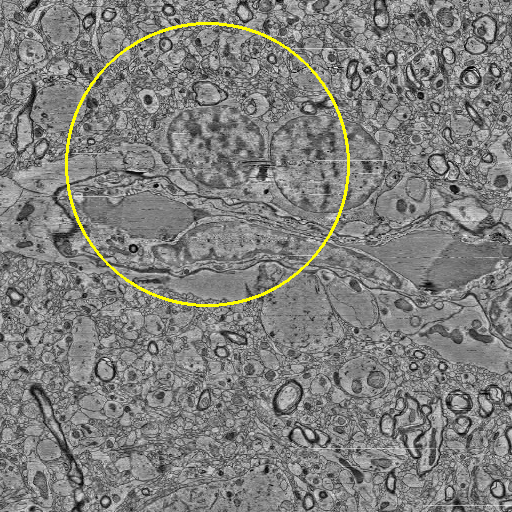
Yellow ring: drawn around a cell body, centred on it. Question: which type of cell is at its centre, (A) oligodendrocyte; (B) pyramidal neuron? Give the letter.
A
